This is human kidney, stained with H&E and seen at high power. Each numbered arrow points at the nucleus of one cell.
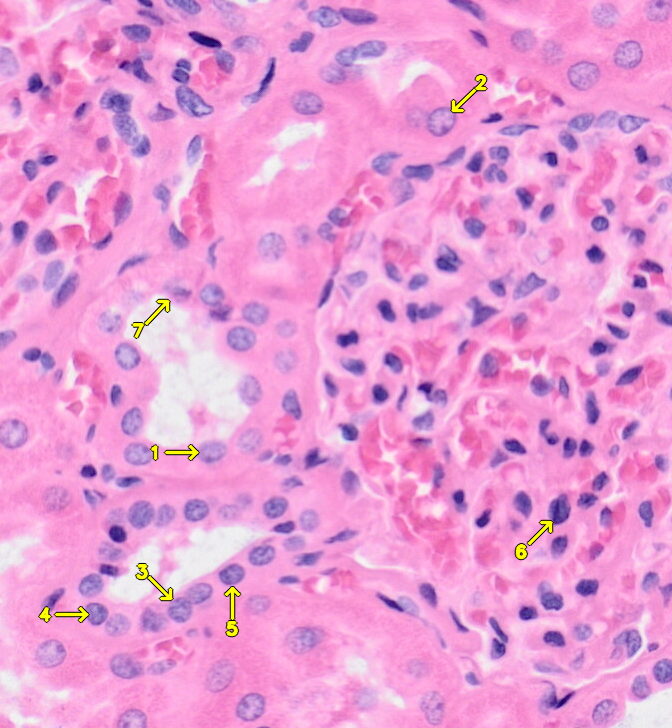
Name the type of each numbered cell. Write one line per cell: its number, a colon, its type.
1: loop of Henle or distal tubule cell
2: proximal tubule cell
3: collecting duct cell
4: collecting duct cell
5: collecting duct cell
6: endothelial cell
7: loop of Henle or distal tubule cell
